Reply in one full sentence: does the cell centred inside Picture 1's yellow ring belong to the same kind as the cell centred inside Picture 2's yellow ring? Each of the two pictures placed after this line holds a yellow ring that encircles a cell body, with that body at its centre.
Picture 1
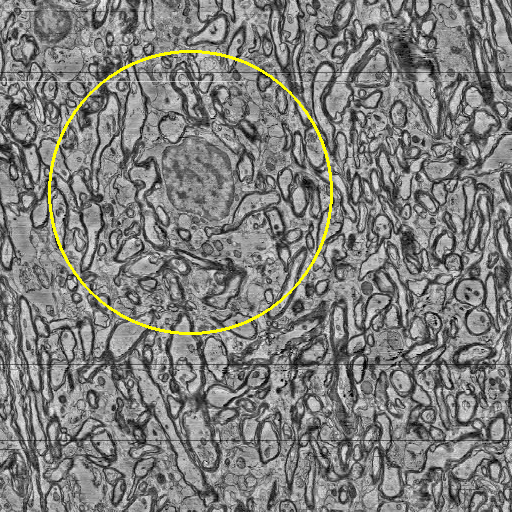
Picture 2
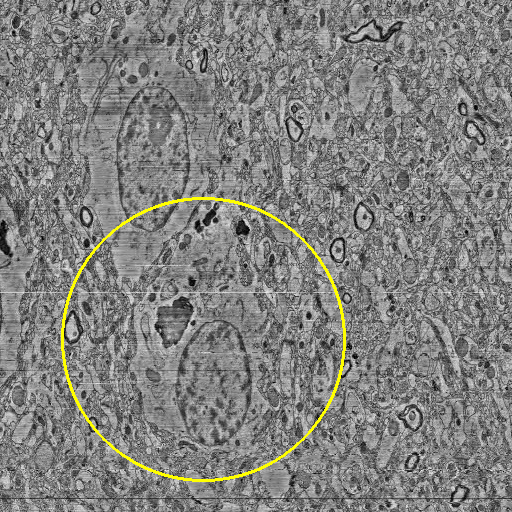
No, the ring-centred cells in Picture 1 and Picture 2 are of two separate kinds.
